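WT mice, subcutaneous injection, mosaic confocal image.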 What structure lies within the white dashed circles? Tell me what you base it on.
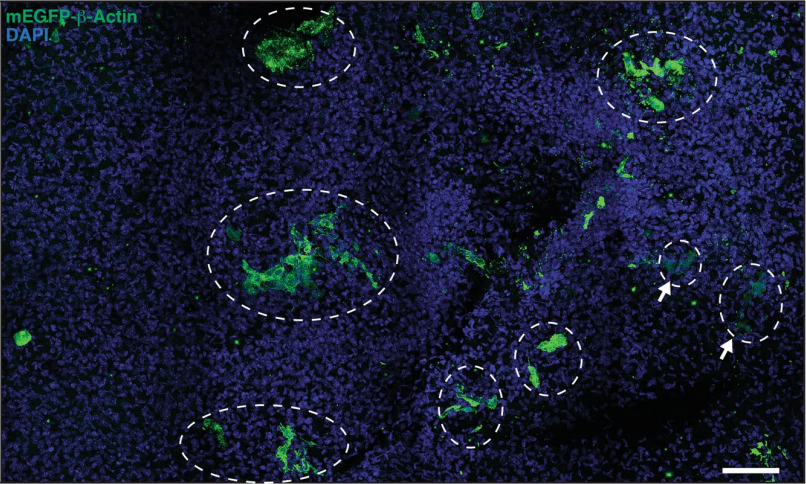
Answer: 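Green cells lie grouped together rather than singly. The answer: cell clusters.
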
